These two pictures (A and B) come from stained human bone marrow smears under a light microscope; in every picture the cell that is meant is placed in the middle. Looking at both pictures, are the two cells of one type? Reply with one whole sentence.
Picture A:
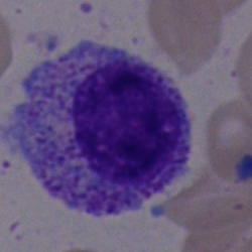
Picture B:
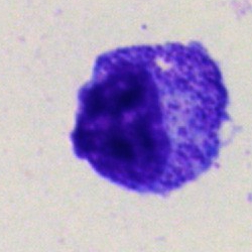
Yes, they are the same type: both are myelocytes.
